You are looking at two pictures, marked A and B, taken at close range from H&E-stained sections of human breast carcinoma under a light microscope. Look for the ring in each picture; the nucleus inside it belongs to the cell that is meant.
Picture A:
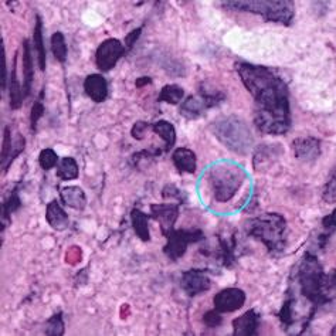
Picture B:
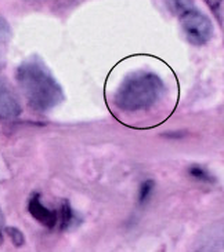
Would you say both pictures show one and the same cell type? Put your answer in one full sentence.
Yes, both are carcinoma cells.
